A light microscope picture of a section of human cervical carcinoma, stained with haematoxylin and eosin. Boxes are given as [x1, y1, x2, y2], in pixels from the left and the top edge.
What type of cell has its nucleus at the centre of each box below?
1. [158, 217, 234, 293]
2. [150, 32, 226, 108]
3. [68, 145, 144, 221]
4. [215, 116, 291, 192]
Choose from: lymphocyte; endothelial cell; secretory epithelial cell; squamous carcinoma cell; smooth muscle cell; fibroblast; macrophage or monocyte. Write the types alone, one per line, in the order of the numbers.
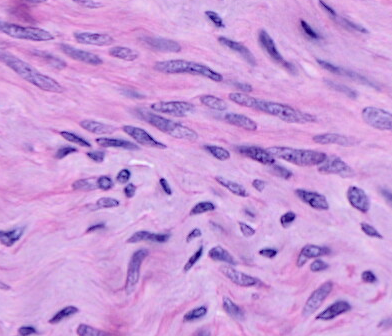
fibroblast
smooth muscle cell
smooth muscle cell
smooth muscle cell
